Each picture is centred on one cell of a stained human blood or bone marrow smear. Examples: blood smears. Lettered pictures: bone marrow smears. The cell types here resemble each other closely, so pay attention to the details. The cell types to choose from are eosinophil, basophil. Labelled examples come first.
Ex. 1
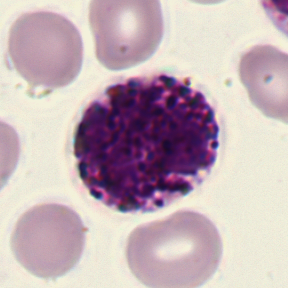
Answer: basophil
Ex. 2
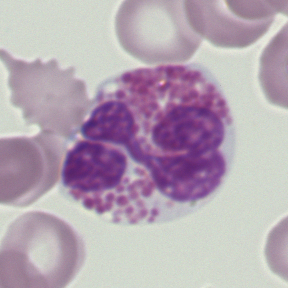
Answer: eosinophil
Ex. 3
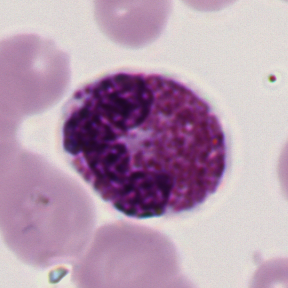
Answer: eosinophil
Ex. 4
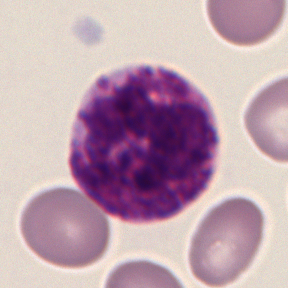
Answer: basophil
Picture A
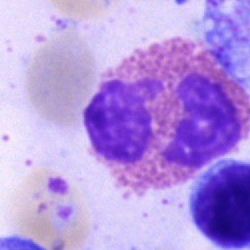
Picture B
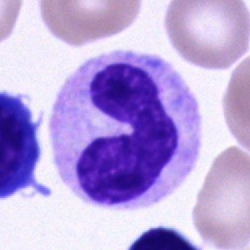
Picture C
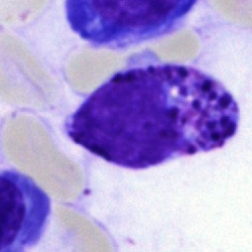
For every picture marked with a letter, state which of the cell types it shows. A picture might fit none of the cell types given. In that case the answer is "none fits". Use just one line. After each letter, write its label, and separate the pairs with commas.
A eosinophil, B none fits, C basophil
